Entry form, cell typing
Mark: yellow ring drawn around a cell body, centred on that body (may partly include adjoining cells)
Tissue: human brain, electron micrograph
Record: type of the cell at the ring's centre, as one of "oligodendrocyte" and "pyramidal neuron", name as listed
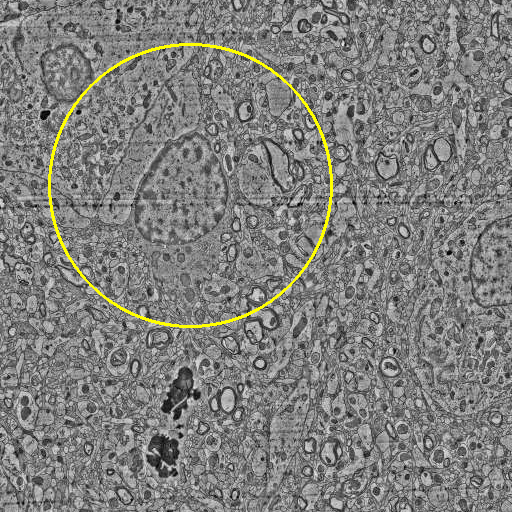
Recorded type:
oligodendrocyte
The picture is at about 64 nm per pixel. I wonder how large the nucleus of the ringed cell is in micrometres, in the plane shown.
About 8 micrometres by about 5 micrometres in this plane.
